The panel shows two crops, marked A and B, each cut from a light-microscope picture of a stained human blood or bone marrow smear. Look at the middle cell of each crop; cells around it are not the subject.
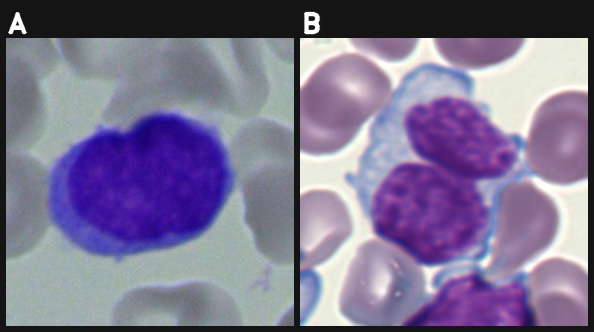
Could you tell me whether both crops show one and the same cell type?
yes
